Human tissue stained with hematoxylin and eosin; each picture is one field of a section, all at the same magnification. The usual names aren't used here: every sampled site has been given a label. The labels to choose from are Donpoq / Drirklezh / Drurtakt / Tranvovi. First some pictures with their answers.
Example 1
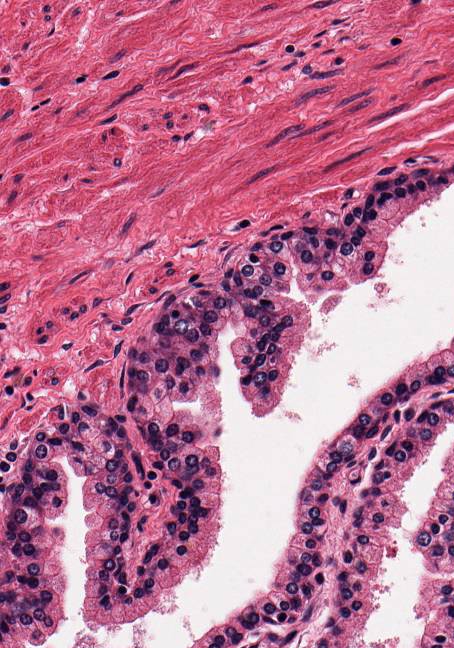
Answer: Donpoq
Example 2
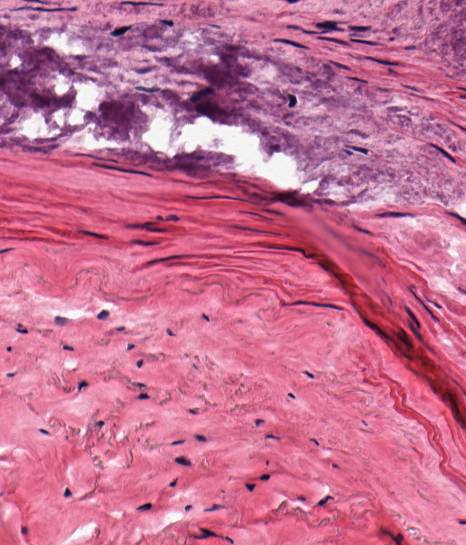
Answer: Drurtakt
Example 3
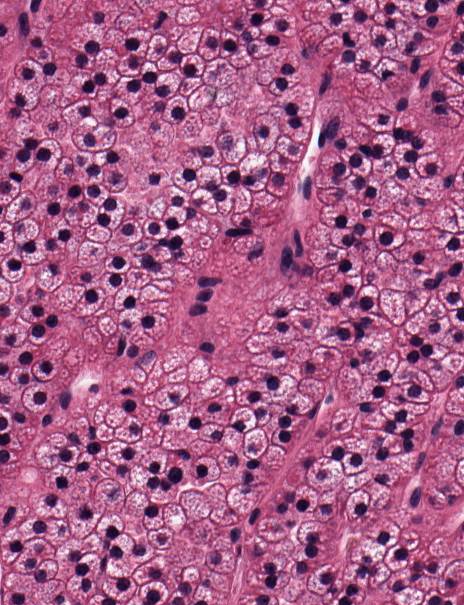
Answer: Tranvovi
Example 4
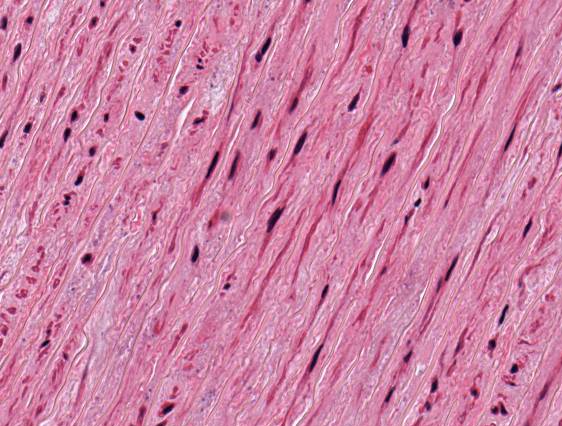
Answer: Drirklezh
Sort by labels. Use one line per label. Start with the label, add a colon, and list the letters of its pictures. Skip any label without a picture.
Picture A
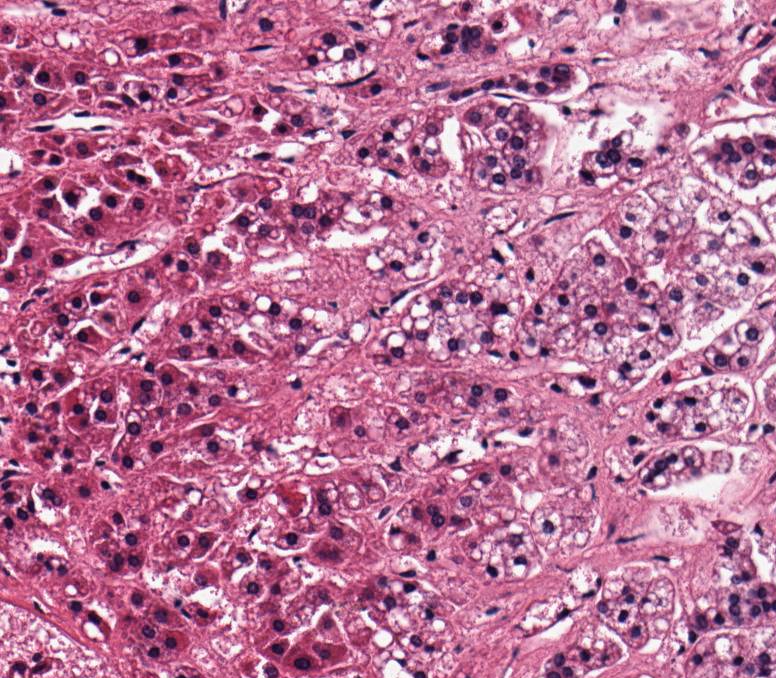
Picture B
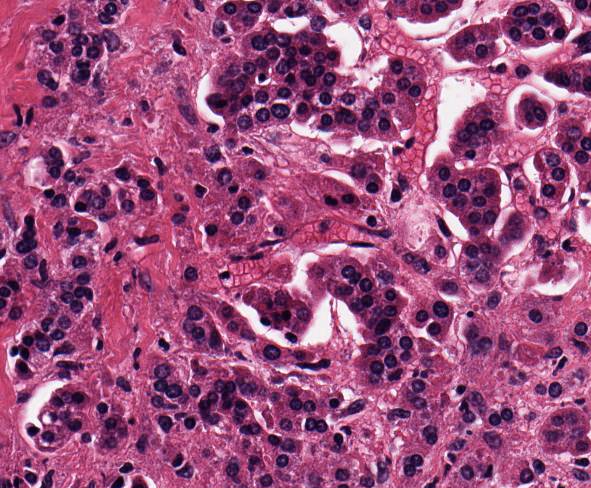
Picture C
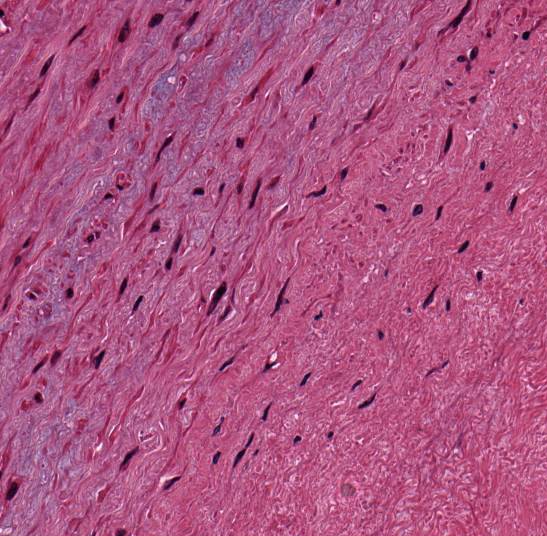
Drirklezh: C
Tranvovi: A, B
